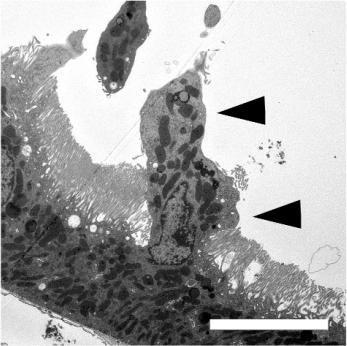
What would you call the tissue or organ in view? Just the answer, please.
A: Proximal tubules.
